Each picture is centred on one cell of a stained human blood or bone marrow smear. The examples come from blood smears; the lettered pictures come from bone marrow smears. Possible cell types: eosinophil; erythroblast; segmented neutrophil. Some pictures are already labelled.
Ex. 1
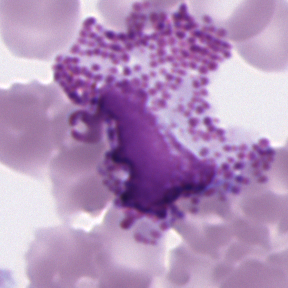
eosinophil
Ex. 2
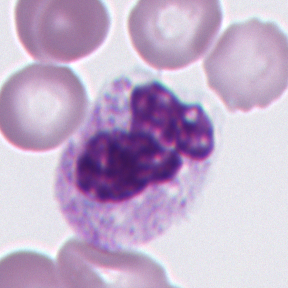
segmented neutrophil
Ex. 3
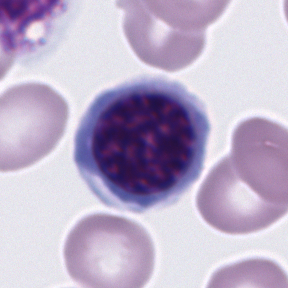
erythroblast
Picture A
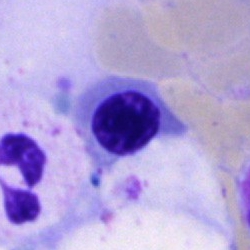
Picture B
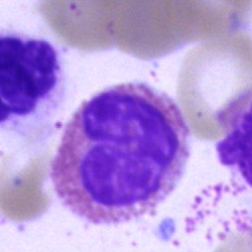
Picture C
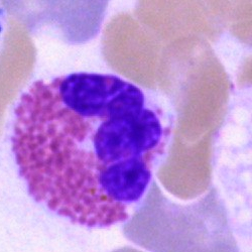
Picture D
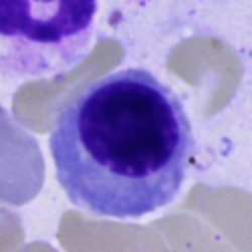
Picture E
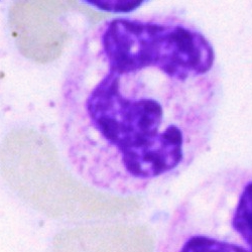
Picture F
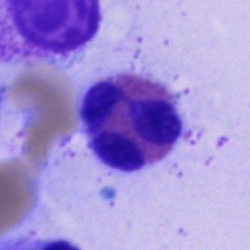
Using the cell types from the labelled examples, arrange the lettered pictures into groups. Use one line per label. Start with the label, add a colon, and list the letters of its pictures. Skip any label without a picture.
eosinophil: B, C, F
erythroblast: A, D
segmented neutrophil: E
